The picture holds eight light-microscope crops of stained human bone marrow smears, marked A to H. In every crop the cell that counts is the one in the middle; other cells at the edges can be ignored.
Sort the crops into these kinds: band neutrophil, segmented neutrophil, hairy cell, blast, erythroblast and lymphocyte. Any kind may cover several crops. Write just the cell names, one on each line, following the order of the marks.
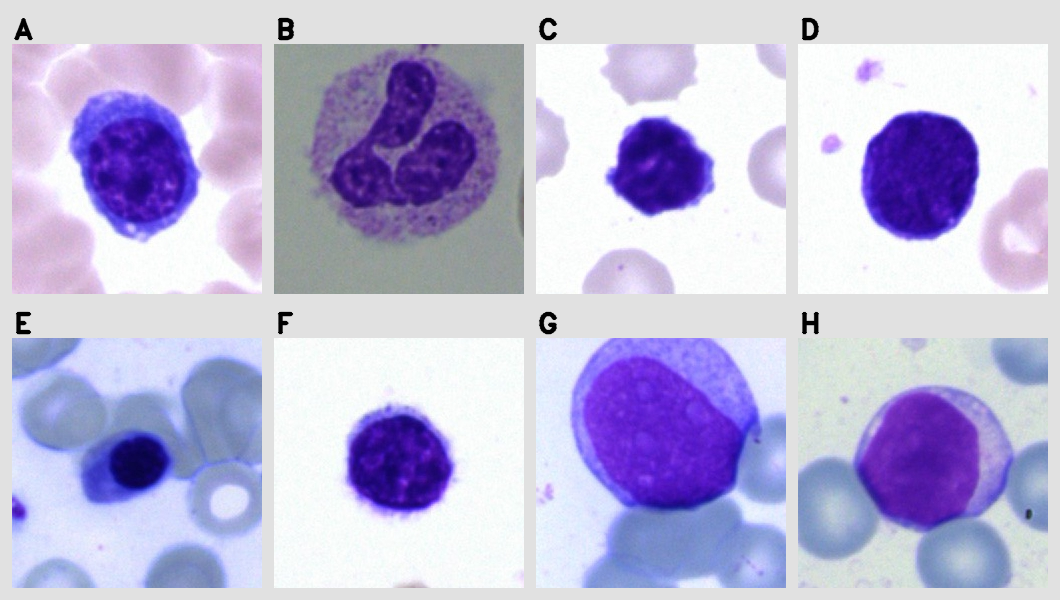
erythroblast
segmented neutrophil
lymphocyte
blast
erythroblast
lymphocyte
blast
lymphocyte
